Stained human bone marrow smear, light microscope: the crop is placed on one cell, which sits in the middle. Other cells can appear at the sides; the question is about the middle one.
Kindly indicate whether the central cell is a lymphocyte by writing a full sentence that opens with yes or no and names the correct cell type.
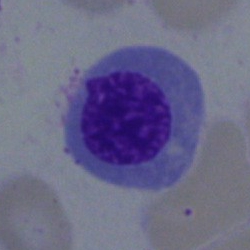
No, the cell at the centre is categorised not as a lymphocyte but as an erythroblast.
